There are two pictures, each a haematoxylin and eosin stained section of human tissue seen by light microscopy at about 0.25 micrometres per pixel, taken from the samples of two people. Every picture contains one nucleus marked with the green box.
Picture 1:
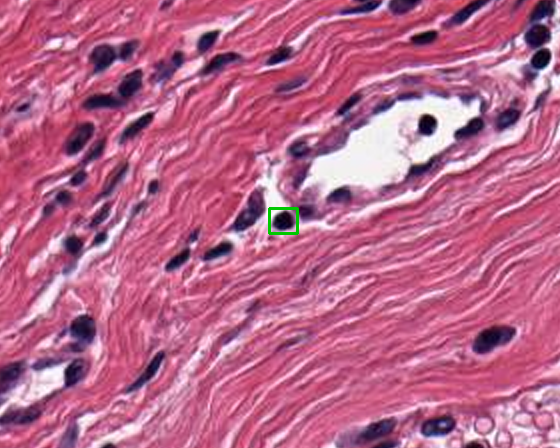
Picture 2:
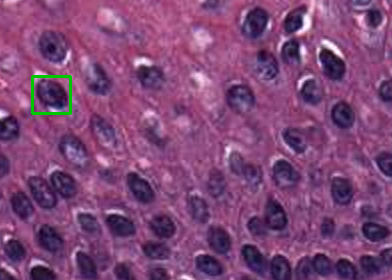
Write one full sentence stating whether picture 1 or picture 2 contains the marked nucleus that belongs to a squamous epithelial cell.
As for picture 2, its marked nucleus belongs to a squamous epithelial cell.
